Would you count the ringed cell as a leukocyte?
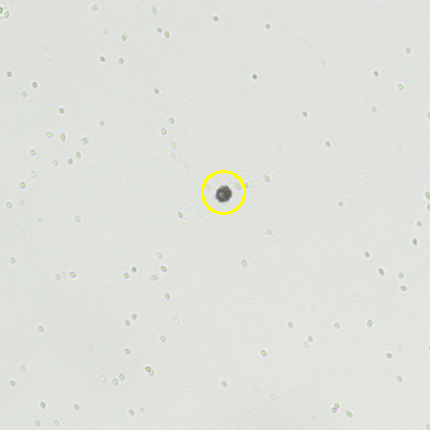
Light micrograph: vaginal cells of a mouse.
Yes, I would count it as a leukocyte.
